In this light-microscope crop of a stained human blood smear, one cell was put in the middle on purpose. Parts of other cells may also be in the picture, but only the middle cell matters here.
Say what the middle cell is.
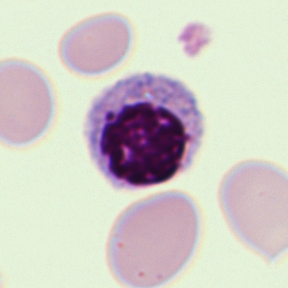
erythroblast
